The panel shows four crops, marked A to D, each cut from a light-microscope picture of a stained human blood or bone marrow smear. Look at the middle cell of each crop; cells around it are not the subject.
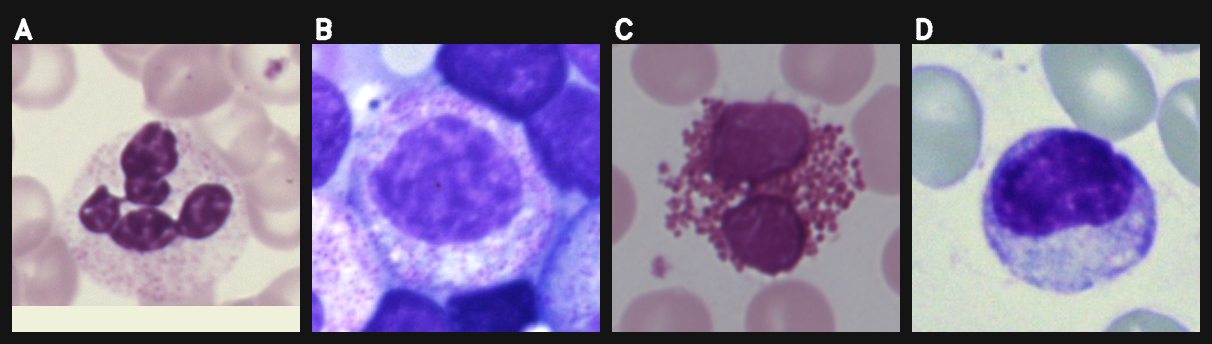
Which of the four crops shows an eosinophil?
C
